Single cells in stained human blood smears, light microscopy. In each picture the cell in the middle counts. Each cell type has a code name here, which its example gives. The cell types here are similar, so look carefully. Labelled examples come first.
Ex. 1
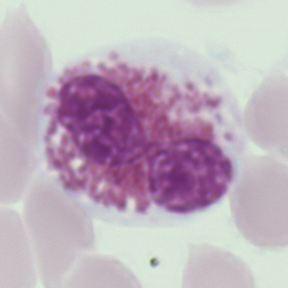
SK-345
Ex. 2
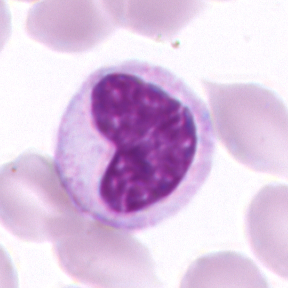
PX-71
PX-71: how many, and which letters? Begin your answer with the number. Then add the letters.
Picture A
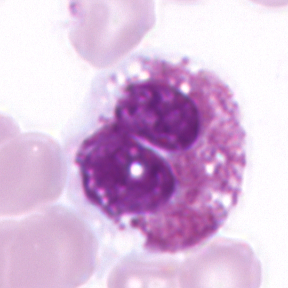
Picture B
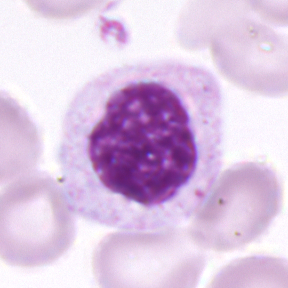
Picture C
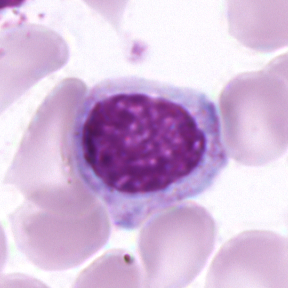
2: B, C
